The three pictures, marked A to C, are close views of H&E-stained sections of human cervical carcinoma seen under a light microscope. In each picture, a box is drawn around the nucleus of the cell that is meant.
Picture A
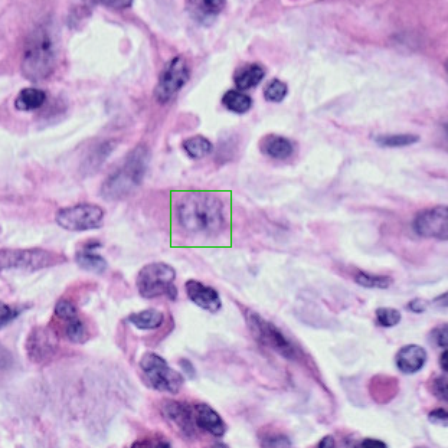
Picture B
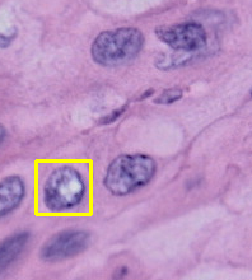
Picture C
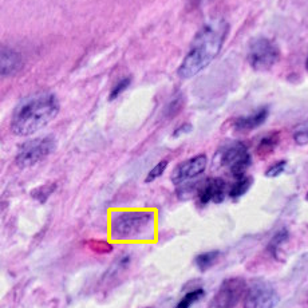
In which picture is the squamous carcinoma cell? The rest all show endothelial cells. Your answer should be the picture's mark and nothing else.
B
